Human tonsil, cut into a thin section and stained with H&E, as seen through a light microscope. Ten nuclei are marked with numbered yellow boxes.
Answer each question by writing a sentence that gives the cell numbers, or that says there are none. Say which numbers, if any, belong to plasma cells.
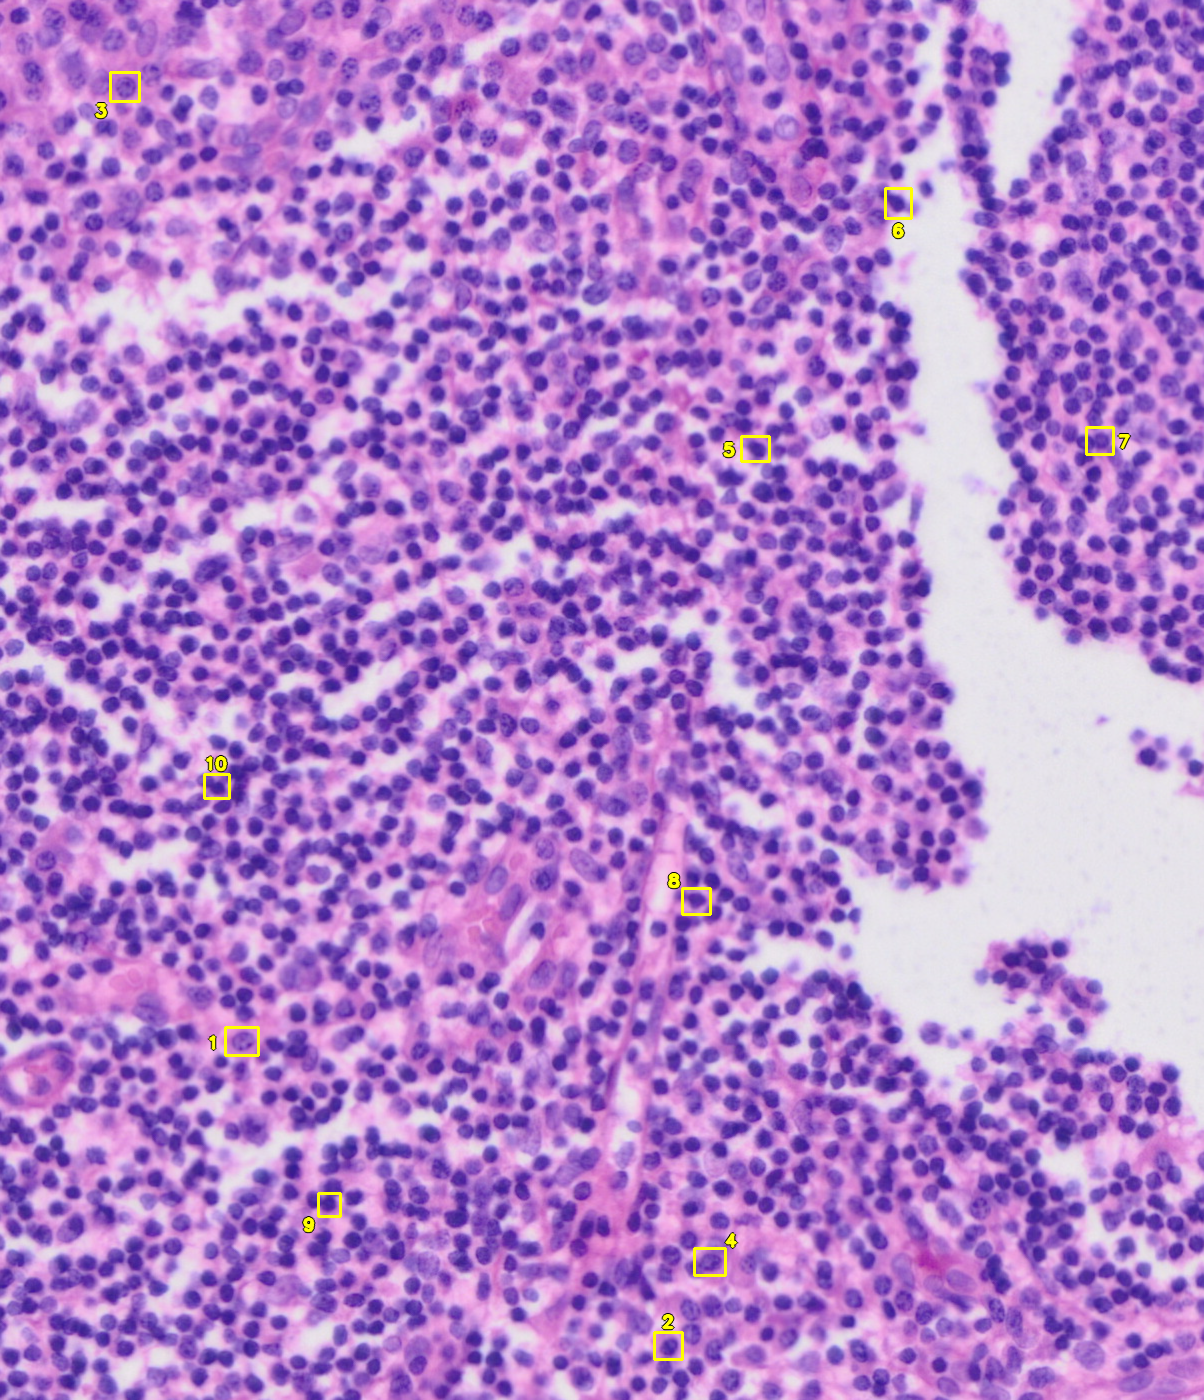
The cells numbered 1, 2, 3 and 4 fall into the category of plasma cells.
